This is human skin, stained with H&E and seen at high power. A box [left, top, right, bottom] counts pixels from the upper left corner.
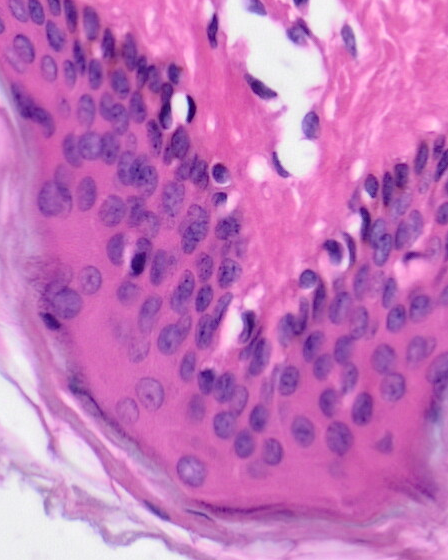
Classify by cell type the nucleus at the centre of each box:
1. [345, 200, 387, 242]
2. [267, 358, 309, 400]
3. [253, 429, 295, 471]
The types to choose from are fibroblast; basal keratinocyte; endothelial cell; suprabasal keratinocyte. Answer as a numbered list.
1. basal keratinocyte
2. suprabasal keratinocyte
3. suprabasal keratinocyte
